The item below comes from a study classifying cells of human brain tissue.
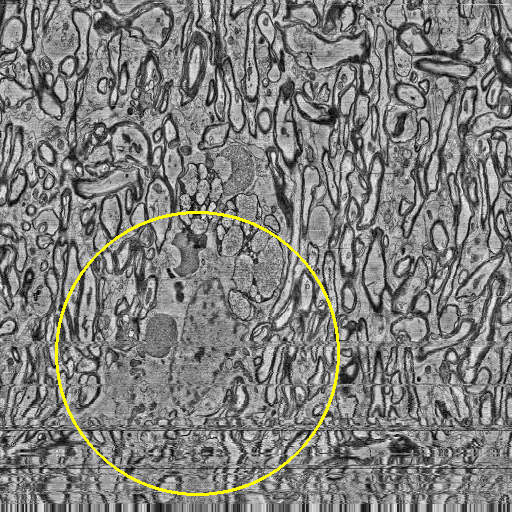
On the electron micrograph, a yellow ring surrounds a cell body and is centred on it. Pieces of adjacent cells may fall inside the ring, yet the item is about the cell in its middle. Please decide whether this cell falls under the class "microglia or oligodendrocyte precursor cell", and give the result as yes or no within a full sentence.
No, the cell at the middle of the ring on the micrograph is of another kind.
